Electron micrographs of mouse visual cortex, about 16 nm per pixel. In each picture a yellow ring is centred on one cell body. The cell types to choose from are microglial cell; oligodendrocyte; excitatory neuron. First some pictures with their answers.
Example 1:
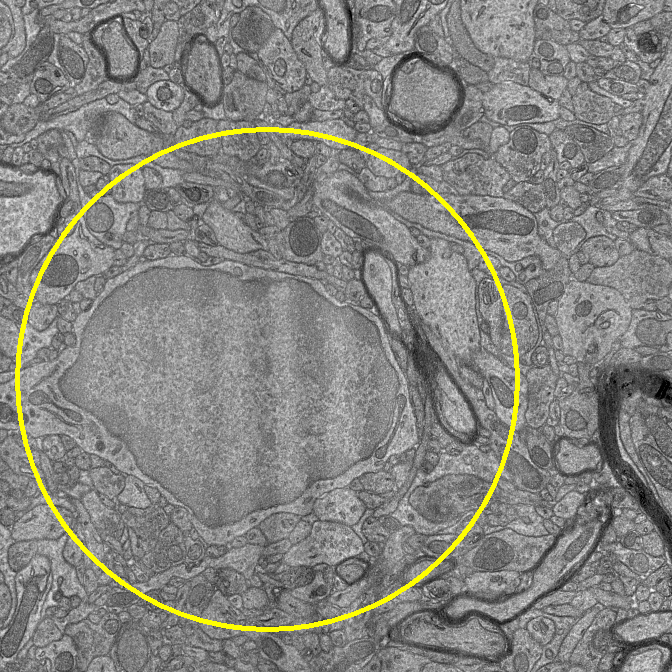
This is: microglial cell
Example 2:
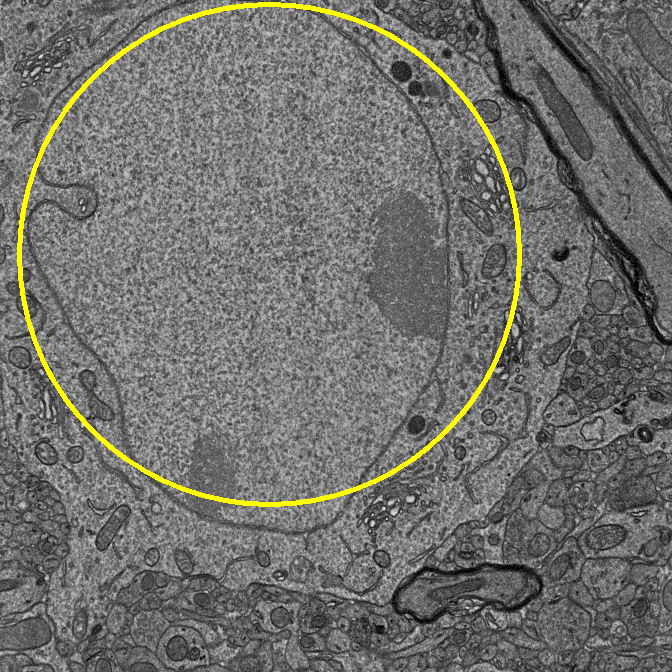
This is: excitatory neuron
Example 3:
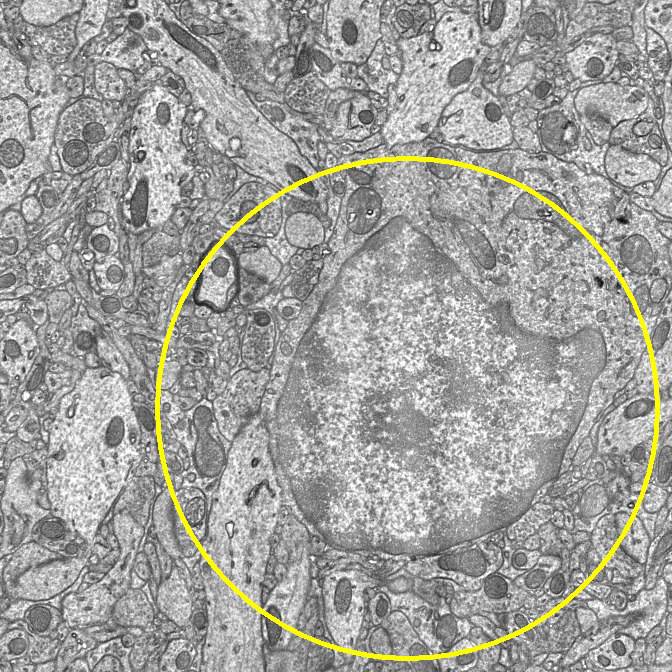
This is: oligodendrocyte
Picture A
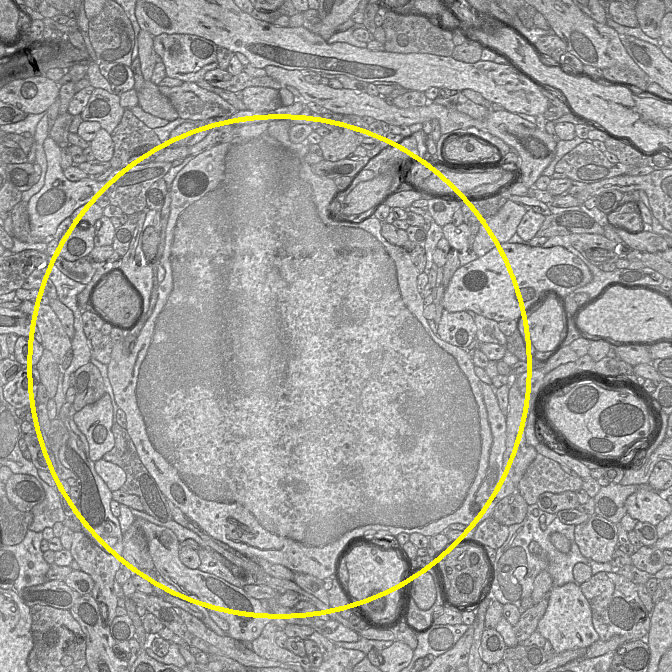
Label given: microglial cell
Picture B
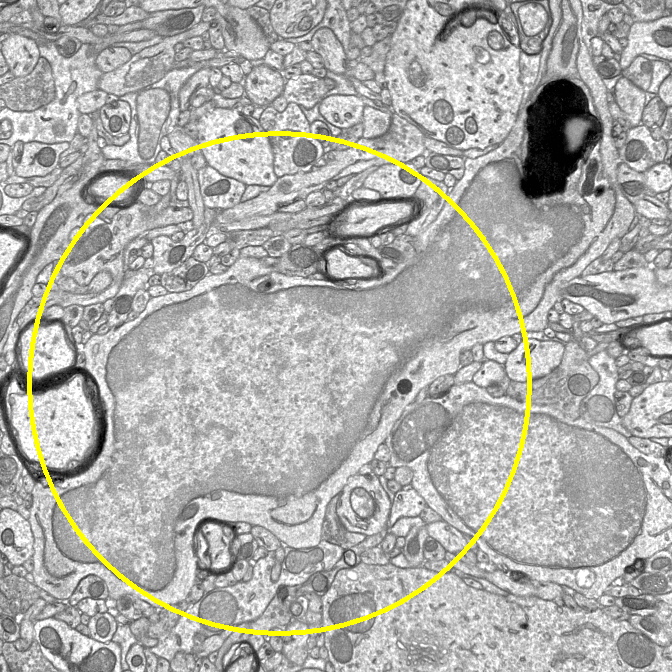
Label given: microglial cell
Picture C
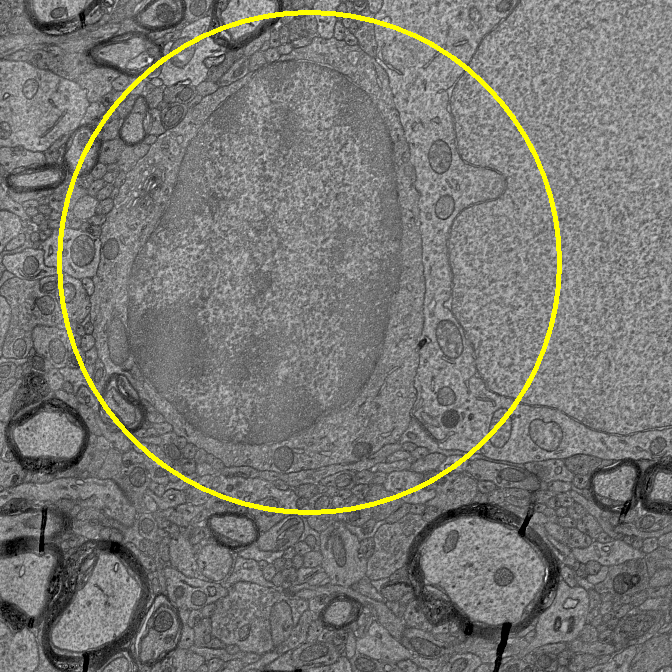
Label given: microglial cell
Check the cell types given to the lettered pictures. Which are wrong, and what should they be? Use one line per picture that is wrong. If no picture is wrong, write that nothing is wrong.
C: not microglial cell but oligodendrocyte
